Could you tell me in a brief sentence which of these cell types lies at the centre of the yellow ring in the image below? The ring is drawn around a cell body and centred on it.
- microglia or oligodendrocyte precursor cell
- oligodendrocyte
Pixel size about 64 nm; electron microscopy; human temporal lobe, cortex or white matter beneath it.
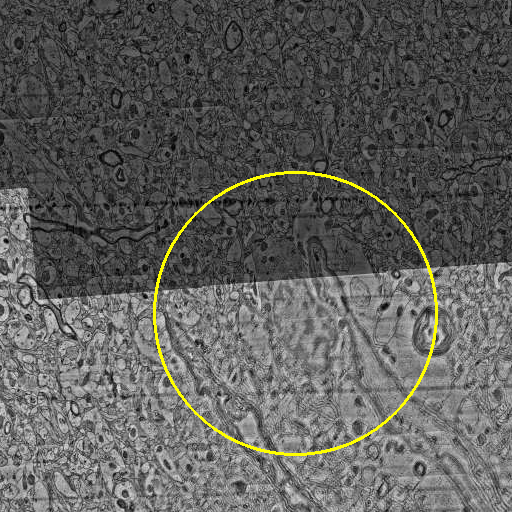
The cell centred in the ring is an oligodendrocyte.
